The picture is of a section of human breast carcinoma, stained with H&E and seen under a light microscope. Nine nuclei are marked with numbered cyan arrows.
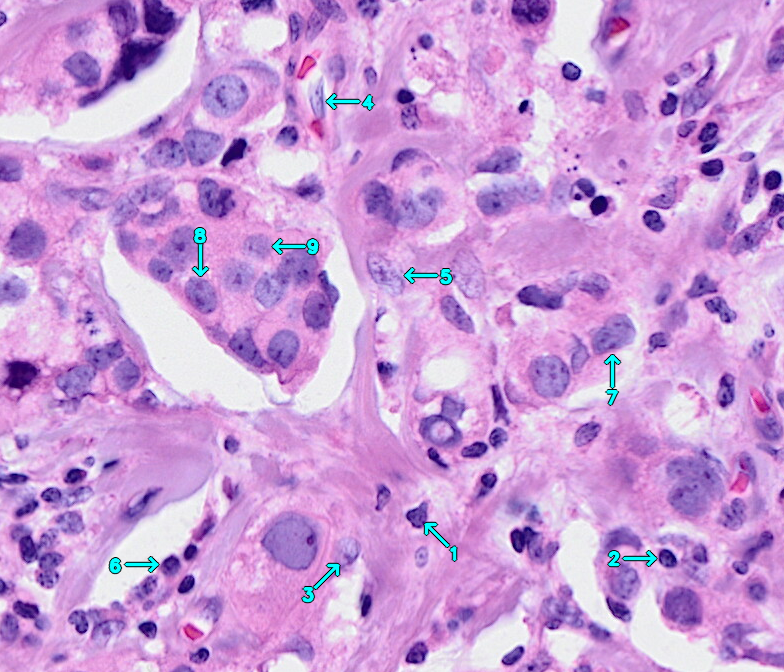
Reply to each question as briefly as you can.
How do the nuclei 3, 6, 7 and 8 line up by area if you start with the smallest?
6, 3, 8, 7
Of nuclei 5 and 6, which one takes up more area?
5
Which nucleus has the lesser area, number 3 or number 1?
1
